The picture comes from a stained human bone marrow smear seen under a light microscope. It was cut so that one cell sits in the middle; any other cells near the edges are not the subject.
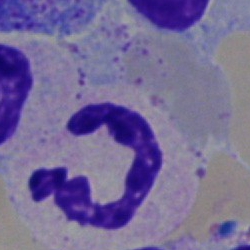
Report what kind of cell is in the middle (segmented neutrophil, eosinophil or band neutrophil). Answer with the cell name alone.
segmented neutrophil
